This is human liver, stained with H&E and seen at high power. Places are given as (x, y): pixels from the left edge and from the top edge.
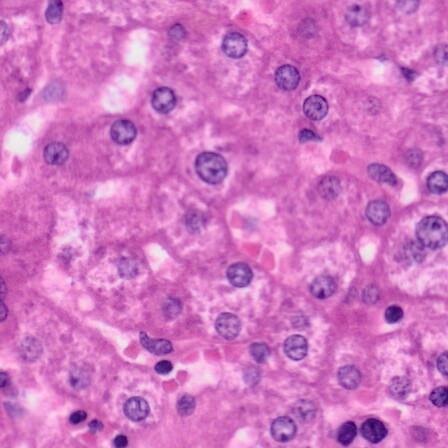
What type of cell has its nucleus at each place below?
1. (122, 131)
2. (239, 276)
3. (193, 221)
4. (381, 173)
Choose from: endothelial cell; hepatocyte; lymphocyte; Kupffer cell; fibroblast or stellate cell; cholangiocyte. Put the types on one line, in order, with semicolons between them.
hepatocyte; hepatocyte; hepatocyte; Kupffer cell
